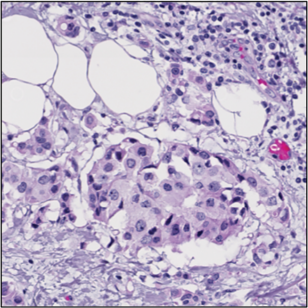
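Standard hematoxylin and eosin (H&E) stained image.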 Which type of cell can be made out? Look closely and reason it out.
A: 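Epithelial cells. A compact group of large cells with ample pink-purple cytoplasm sits in the middle of the field. Their nuclei are large and round to oval, with visible nucleoli.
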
